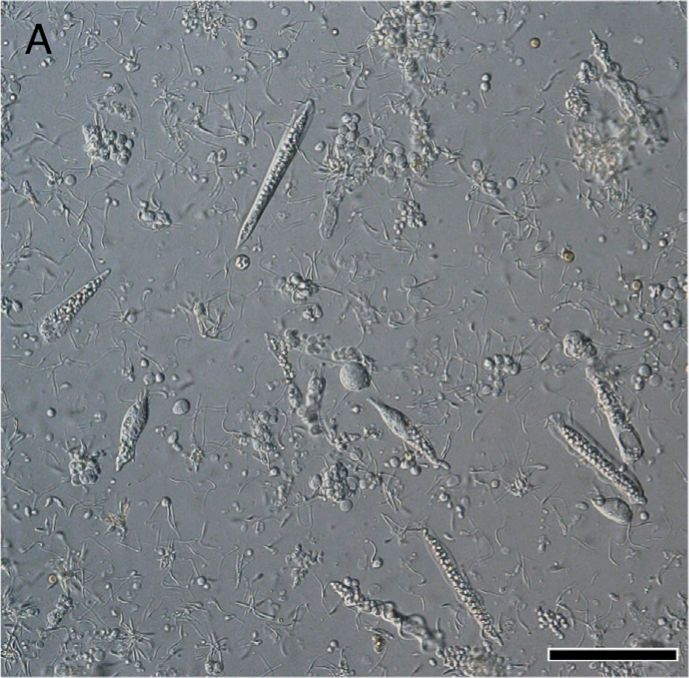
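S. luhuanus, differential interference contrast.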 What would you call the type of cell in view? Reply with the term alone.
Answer: Spermatogenic cells.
